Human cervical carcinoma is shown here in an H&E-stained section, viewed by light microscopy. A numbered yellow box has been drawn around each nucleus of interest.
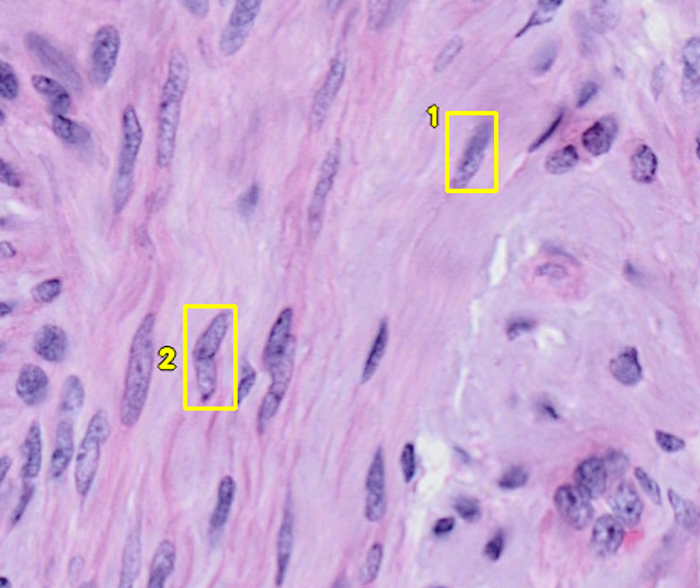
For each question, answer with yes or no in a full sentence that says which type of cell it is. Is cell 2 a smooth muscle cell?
Yes, the marked cell numbered 2 is a smooth muscle cell.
